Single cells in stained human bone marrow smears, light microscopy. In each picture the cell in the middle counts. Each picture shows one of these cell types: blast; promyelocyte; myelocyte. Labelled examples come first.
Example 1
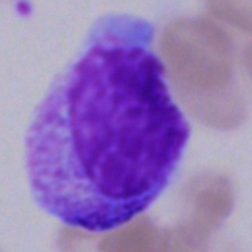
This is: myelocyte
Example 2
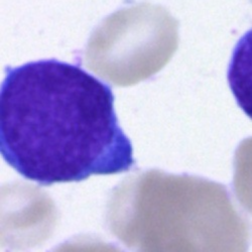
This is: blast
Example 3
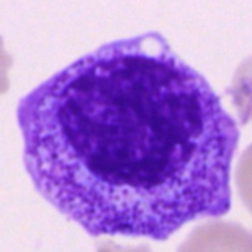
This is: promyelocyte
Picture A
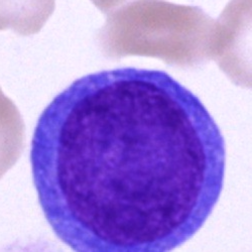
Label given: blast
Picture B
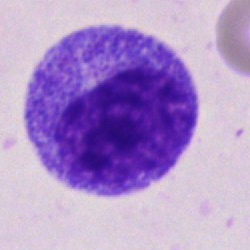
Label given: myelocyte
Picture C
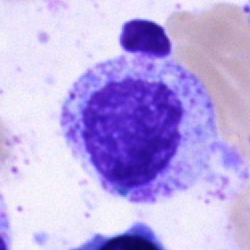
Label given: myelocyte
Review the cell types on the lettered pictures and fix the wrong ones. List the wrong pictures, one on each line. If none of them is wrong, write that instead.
All correct.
